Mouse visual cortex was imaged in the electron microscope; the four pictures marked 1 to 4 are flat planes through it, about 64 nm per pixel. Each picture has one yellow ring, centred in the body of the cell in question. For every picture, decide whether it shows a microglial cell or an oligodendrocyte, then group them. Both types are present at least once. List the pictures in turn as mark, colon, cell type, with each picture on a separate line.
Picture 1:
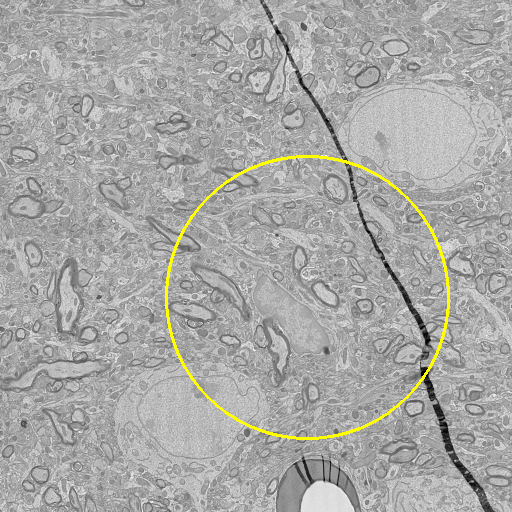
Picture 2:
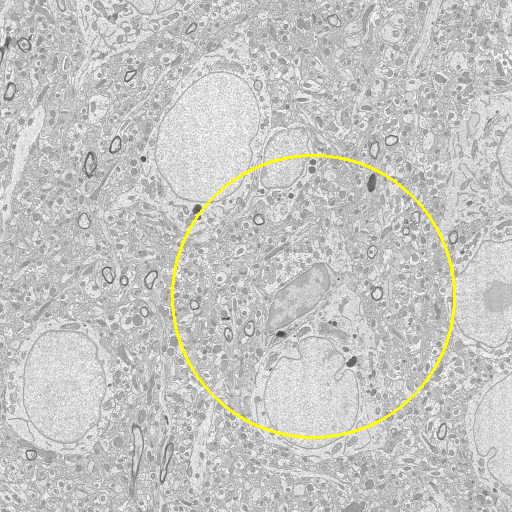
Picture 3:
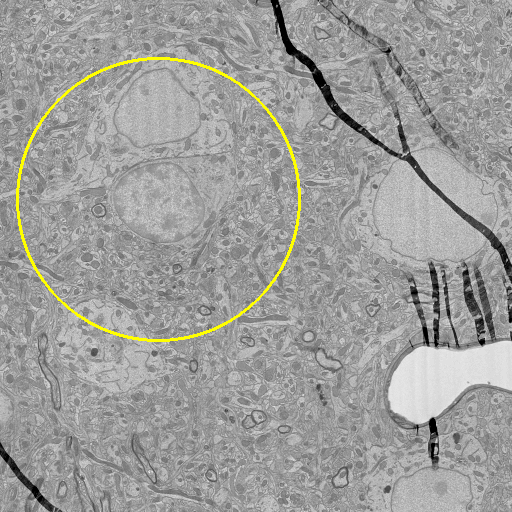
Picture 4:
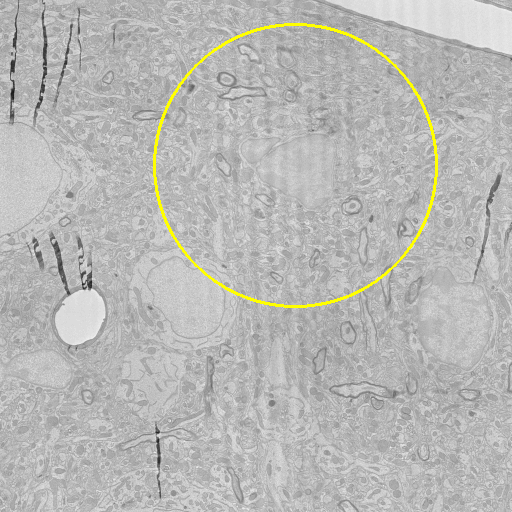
1: microglial cell
2: microglial cell
3: oligodendrocyte
4: microglial cell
